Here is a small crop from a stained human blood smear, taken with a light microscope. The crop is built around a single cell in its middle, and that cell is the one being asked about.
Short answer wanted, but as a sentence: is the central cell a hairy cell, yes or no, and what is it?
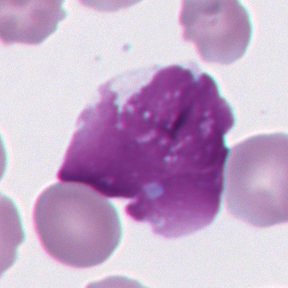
No, it is a smudge cell that sits in the middle, not a hairy cell.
